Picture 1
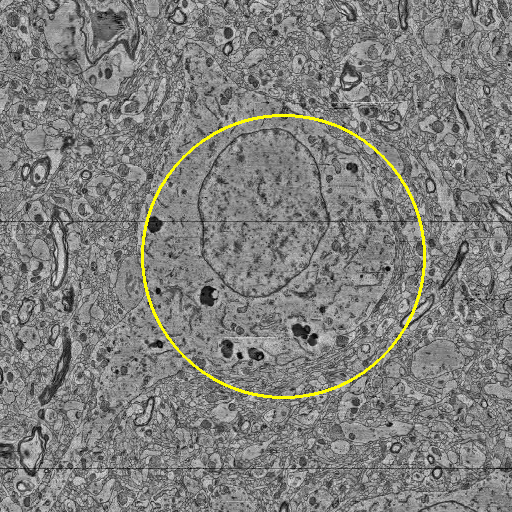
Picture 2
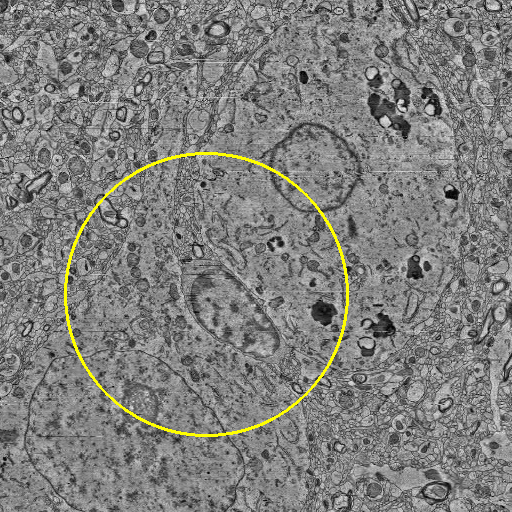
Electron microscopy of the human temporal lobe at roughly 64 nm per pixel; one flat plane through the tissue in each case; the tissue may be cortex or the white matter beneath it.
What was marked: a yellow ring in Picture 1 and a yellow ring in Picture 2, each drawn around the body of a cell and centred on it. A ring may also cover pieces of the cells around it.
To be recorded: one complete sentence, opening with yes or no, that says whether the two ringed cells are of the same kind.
No, the two ringed cells are of two kinds.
